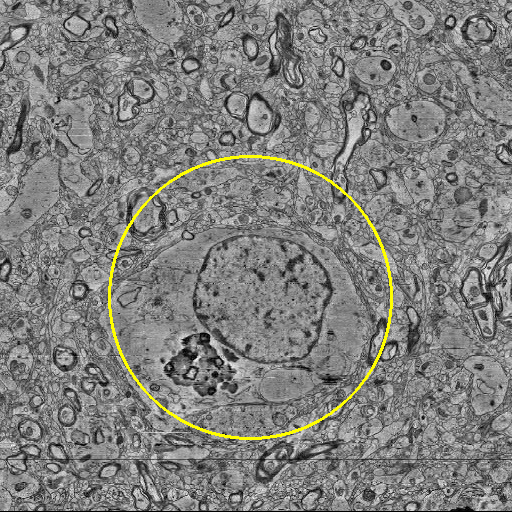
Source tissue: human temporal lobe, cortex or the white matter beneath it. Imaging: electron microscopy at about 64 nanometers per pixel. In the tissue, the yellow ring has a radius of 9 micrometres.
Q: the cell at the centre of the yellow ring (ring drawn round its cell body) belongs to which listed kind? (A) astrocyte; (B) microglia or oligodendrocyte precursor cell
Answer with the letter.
A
